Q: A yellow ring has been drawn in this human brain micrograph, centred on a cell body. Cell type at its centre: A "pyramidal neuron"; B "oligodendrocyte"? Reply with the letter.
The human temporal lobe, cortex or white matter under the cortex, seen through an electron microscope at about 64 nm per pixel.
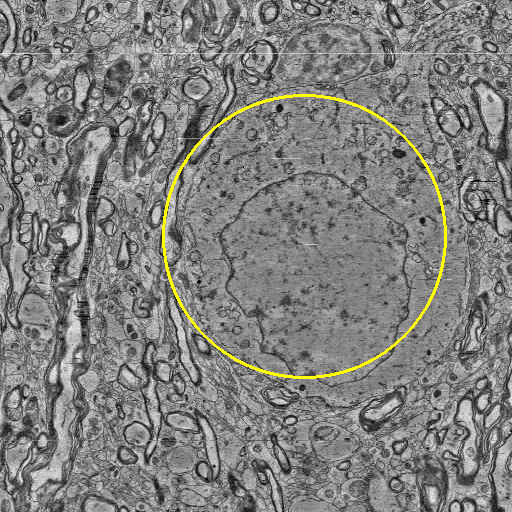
A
